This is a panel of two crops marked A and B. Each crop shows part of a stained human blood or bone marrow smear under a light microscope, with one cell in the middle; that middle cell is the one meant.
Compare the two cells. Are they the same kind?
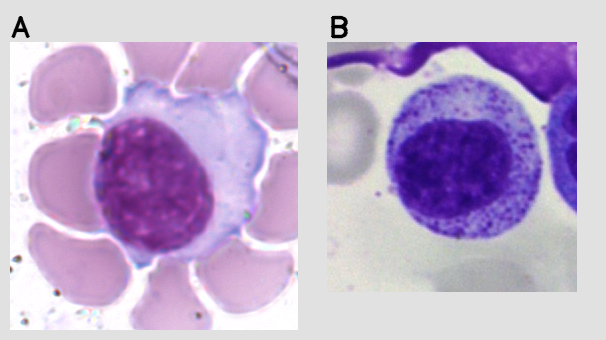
no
